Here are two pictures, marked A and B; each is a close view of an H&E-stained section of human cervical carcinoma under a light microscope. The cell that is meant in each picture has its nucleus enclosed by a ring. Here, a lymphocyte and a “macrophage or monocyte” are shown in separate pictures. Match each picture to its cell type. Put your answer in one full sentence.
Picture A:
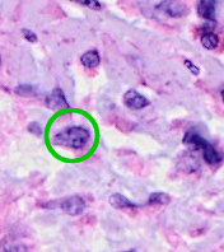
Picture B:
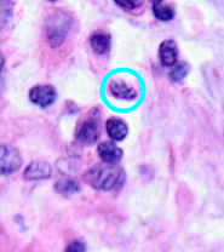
In picture A the cell is a “macrophage or monocyte”; in picture B, a lymphocyte.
